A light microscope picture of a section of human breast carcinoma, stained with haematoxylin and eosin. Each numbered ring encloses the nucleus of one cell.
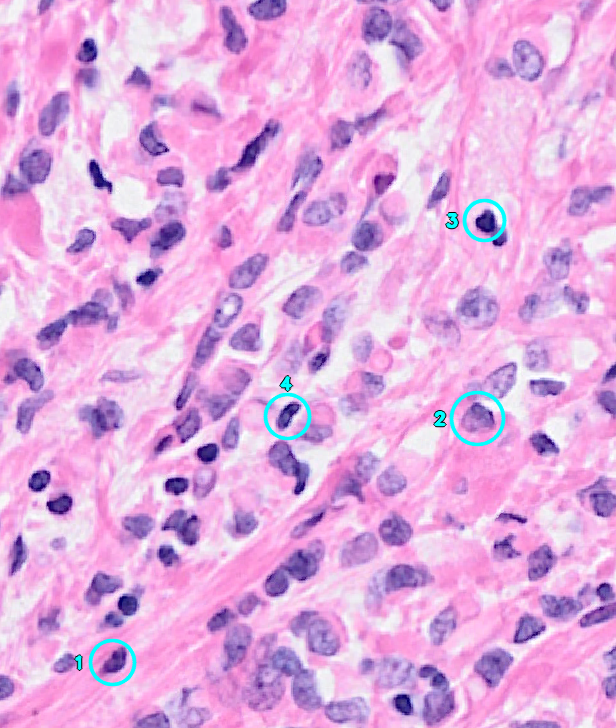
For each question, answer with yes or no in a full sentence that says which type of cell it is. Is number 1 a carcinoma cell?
No, number 1 is assigned to a lymphocyte, not to a carcinoma cell.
